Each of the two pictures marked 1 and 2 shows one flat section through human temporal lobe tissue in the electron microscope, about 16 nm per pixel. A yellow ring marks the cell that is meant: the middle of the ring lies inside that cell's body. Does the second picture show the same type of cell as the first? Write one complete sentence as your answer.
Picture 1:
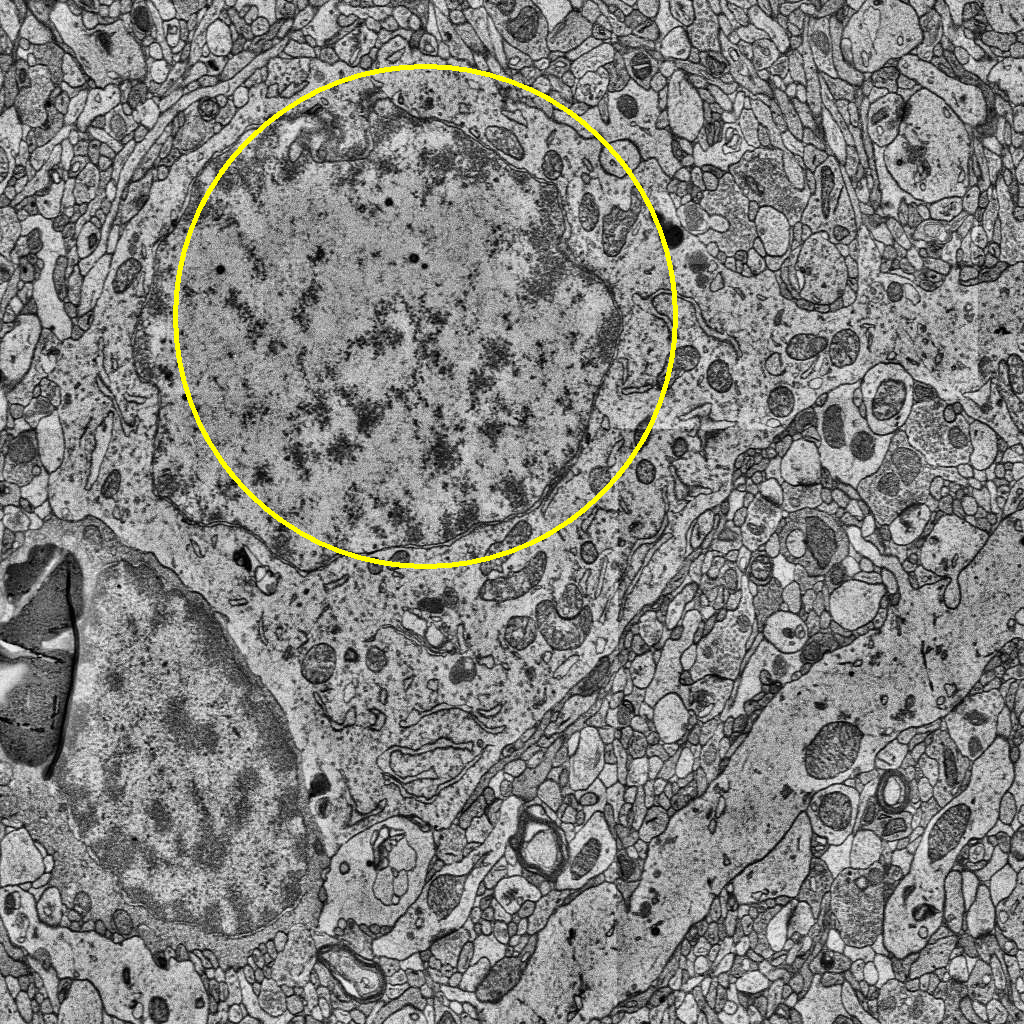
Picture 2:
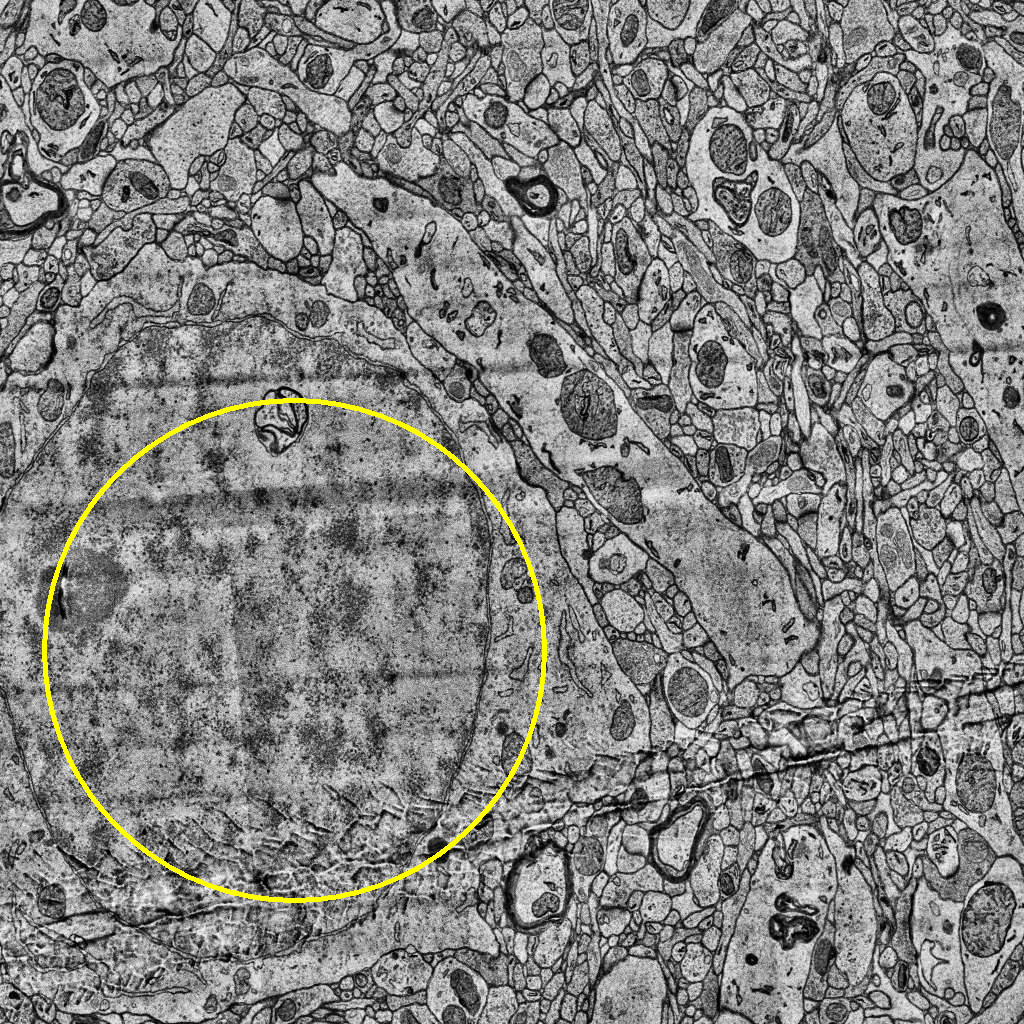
Yes; the cells in both pictures are interneurons.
